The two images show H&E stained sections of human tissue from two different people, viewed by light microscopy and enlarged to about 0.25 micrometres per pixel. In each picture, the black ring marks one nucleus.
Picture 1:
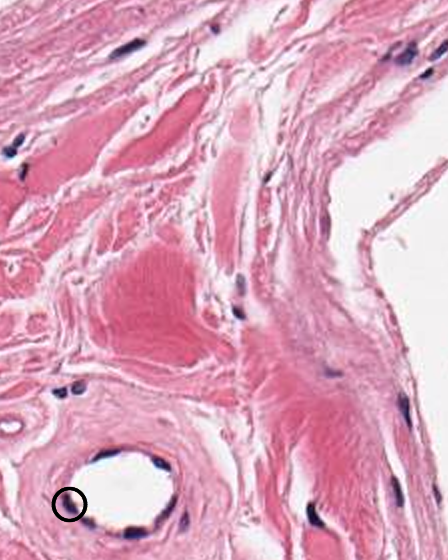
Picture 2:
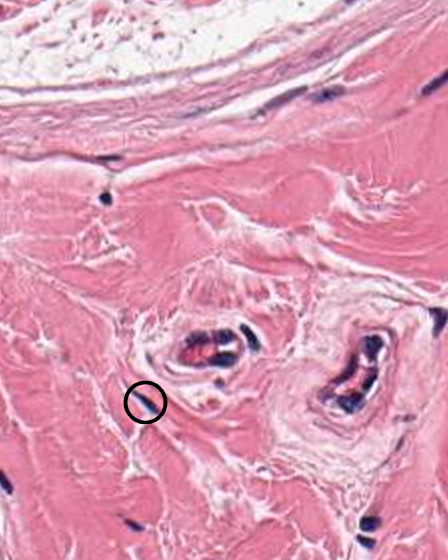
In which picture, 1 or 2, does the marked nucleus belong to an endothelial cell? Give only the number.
1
